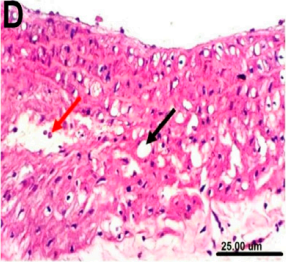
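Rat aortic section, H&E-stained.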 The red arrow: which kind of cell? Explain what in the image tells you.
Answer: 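The arrow points to a cleft in the wall containing a few small cells with dark nuclei.
Answer: inflammatory cells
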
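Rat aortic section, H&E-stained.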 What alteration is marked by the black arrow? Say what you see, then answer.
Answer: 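Vacuolization. The arrow points to a clear, empty round space within the pink wall. Many cells of the wall have clear, pale cytoplasmic spaces around their nuclei.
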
